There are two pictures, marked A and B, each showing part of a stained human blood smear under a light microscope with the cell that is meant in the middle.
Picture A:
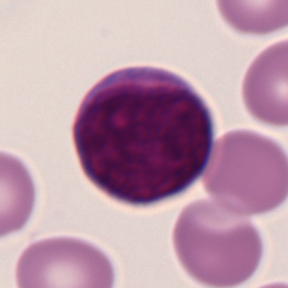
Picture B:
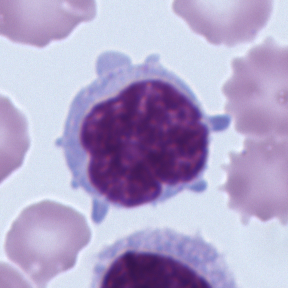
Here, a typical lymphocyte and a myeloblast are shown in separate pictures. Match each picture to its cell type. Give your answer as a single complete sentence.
Picture B shows a typical lymphocyte, while picture A shows a myeloblast.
